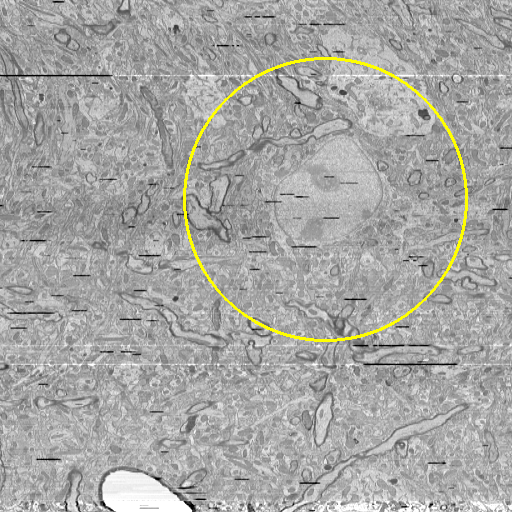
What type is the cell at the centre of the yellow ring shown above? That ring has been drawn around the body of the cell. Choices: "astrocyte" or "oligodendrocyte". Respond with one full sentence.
My answer is that an astrocyte lies at the centre of the yellow ring above.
